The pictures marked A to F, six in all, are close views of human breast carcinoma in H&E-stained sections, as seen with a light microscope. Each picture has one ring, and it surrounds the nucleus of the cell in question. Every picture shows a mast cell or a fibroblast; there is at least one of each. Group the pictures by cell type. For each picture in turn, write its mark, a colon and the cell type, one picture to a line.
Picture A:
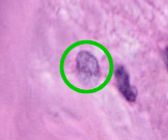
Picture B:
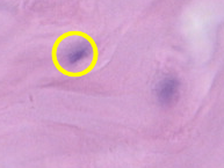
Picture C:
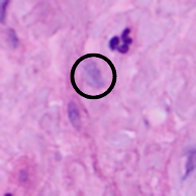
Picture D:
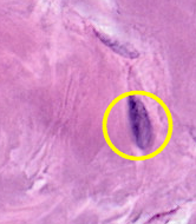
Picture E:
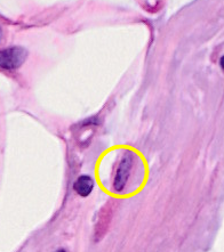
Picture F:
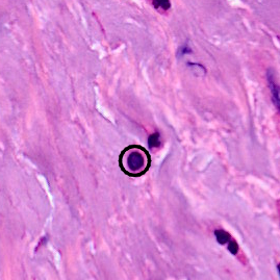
A: fibroblast
B: fibroblast
C: fibroblast
D: fibroblast
E: mast cell
F: mast cell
